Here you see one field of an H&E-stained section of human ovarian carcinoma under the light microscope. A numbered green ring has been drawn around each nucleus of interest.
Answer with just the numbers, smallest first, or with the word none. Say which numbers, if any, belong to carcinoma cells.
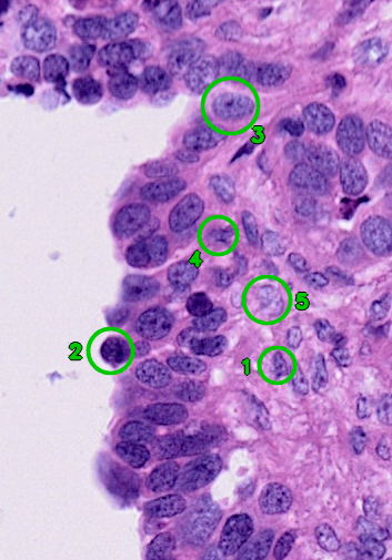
2, 3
